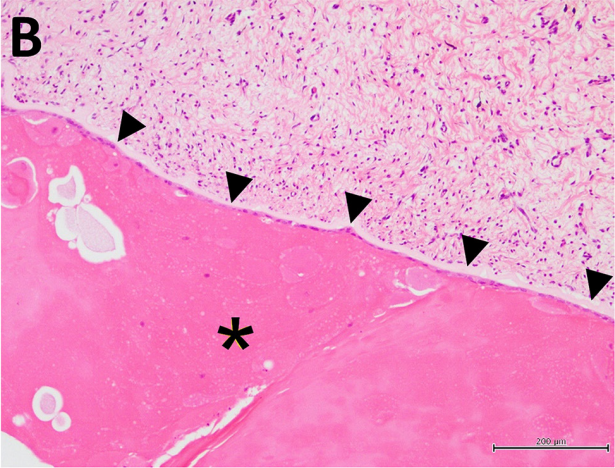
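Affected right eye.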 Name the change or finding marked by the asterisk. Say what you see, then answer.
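A broad, homogeneous, deep pink mass with almost no nuclei. Rounded clefts and globules lie within the pink mass. So: marked degeneration of the lens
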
